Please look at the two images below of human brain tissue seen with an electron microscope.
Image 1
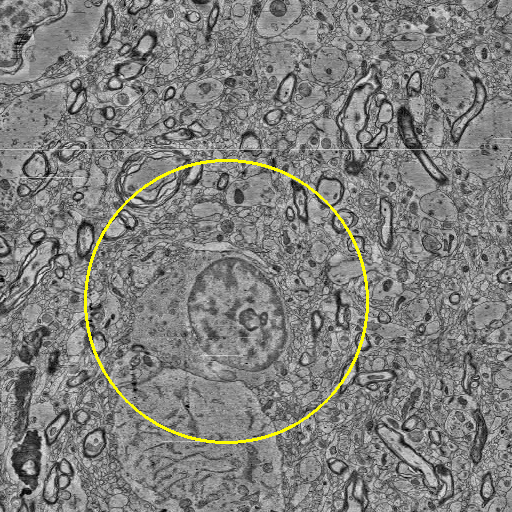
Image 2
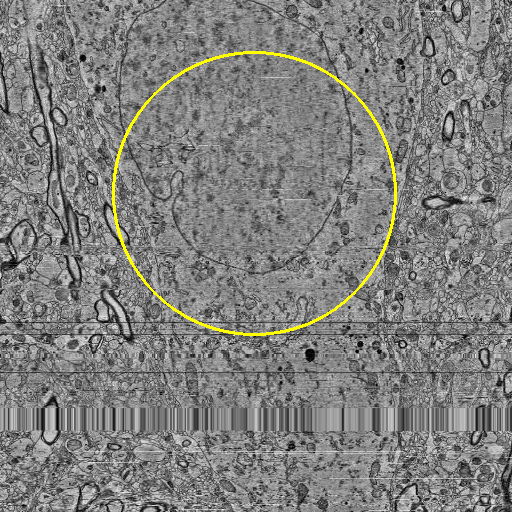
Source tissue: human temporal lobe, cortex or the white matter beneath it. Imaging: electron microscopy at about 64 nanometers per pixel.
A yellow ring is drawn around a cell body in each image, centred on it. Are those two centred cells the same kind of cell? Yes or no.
no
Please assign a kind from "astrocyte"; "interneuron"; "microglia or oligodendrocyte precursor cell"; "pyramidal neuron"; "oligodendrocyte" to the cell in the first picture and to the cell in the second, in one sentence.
In the first picture we have an oligodendrocyte, and in the second, a pyramidal neuron.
